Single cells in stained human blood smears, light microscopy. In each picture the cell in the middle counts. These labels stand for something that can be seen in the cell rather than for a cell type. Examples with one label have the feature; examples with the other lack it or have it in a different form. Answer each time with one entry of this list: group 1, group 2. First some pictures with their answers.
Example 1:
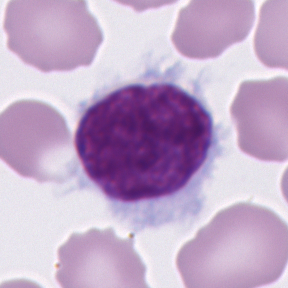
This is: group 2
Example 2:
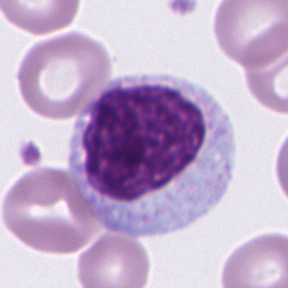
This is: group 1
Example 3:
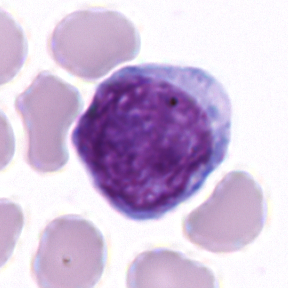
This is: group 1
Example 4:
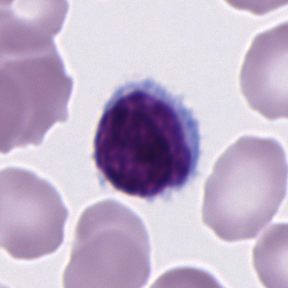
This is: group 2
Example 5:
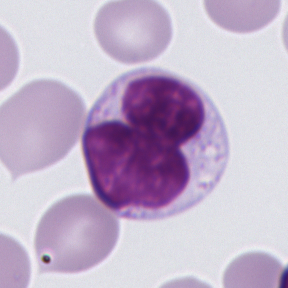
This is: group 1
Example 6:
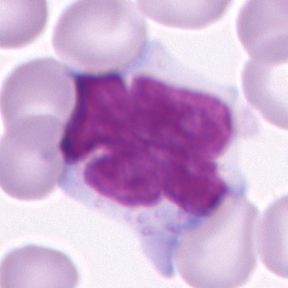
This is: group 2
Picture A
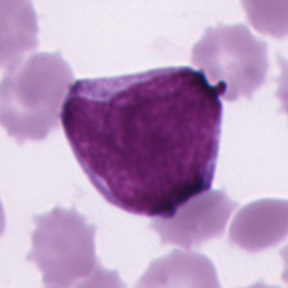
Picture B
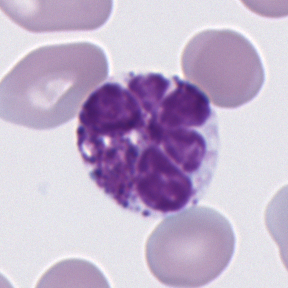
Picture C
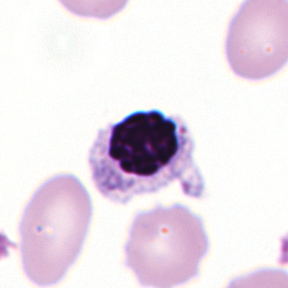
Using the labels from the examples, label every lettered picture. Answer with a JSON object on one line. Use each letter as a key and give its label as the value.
{"A": "group 2", "B": "group 1", "C": "group 2"}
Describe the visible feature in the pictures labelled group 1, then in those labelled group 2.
In group 1: smooth outline. In group 2: ragged outline or projections.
